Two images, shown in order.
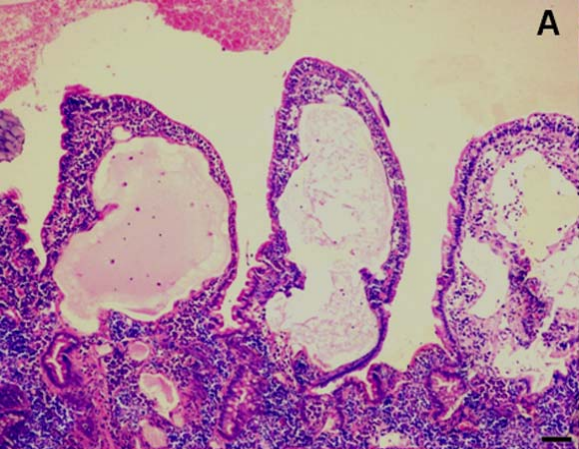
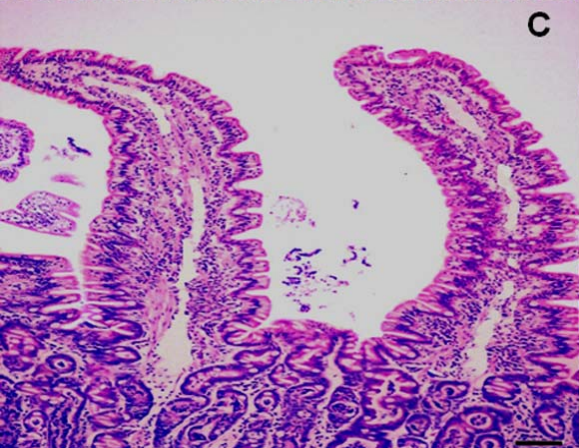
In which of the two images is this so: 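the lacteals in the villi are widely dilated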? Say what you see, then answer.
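Second image: slender villi with no large central space. First image: broad villi each filled by a large pale central space. So: the first image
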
